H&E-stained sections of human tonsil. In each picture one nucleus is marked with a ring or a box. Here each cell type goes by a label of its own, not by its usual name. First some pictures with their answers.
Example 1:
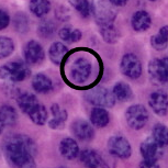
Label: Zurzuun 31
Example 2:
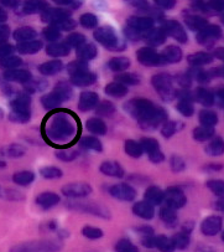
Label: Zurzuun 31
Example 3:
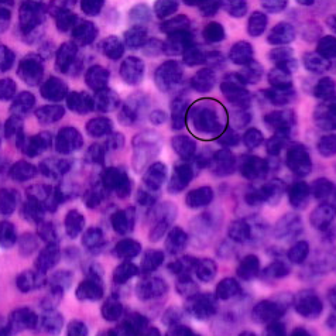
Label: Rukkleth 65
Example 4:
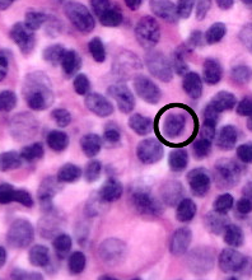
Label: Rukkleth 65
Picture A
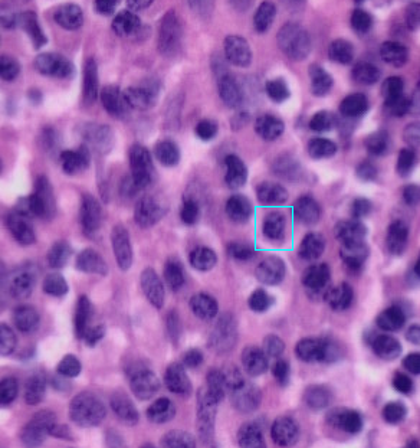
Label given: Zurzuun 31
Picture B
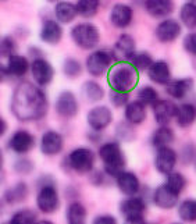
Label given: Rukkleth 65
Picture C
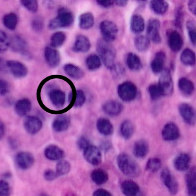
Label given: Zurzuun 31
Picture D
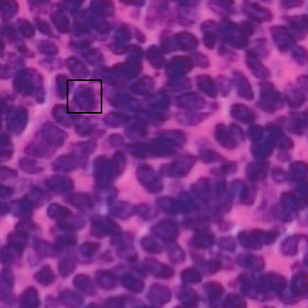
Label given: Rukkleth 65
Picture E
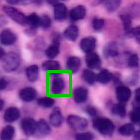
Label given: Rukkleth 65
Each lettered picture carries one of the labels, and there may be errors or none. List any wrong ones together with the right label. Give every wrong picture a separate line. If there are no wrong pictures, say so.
Every label is right.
